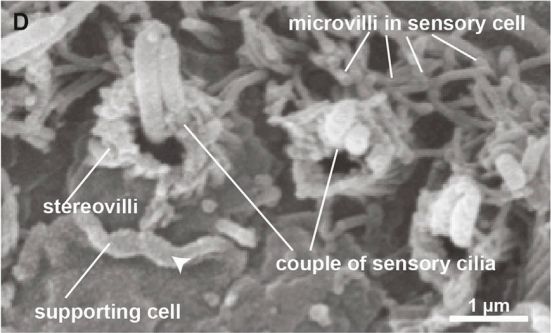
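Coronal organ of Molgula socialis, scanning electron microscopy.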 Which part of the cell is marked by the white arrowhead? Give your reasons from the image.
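The arrowhead sits on a raised, ridge-like fold of the cell surface. The ridge lies beside cells bearing tufts of cilia and villi.
Conclusion: apical cytoplasmic crista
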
